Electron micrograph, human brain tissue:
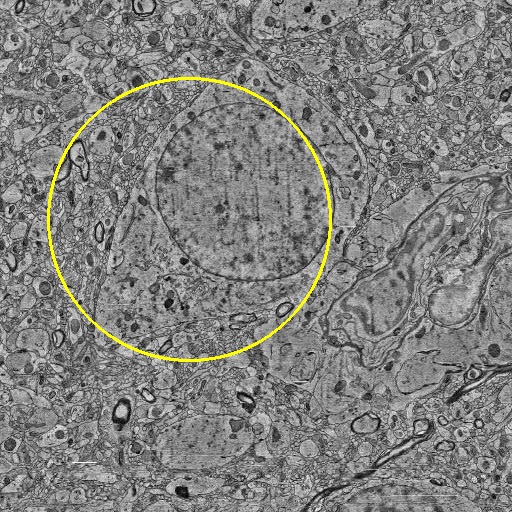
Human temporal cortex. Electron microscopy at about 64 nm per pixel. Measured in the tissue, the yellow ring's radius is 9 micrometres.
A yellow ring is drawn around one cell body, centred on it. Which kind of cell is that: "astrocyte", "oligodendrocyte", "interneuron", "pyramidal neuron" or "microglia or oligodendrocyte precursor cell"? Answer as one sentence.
It is a pyramidal neuron at the centre of the ring.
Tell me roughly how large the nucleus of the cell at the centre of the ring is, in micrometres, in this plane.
Approximately 12 micrometres across, in this plane.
